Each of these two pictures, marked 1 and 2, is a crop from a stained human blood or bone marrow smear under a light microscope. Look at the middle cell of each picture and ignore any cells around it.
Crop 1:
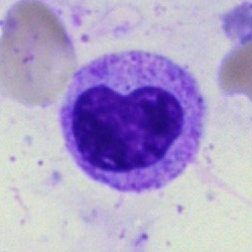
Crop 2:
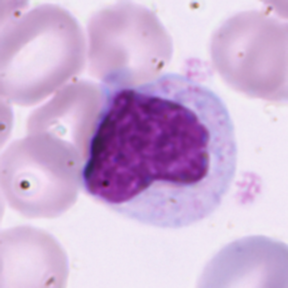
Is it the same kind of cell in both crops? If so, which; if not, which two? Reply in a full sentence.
Yes, both crops show metamyelocytes in their central position.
